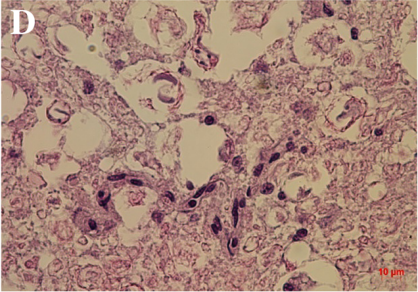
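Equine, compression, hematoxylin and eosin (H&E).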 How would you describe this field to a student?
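Spinal cord tissue broken up by many large clear round spaces, giving a spongy appearance. Several spaces hold rounded pale cells or pink debris within them. Between the spaces lie dark purple nuclei, many of them elongated and lined up along a small vessel. The pink background between spaces is loose and fragmented.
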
